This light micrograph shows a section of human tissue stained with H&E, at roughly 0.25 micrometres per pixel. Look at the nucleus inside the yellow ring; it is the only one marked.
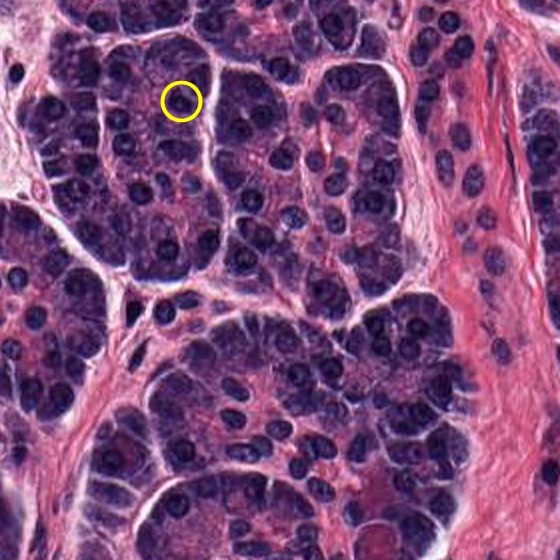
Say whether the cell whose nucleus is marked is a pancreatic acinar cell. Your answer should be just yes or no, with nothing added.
yes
